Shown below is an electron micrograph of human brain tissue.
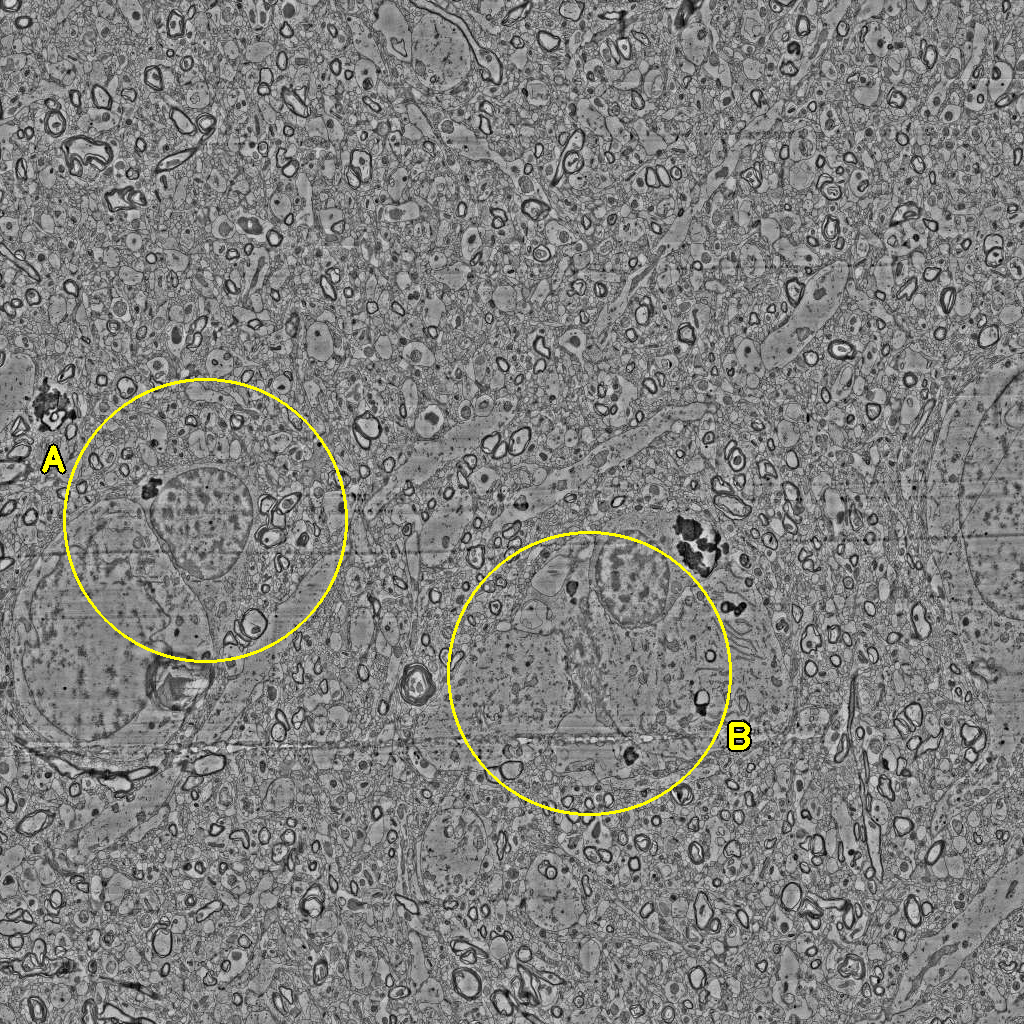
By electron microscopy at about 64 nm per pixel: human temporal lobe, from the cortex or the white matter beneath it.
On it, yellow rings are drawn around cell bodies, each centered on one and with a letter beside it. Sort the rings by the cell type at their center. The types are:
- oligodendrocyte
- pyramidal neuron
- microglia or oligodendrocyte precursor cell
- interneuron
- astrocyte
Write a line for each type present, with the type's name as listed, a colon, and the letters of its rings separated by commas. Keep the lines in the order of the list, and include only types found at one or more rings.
oligodendrocyte: A
microglia or oligodendrocyte precursor cell: B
